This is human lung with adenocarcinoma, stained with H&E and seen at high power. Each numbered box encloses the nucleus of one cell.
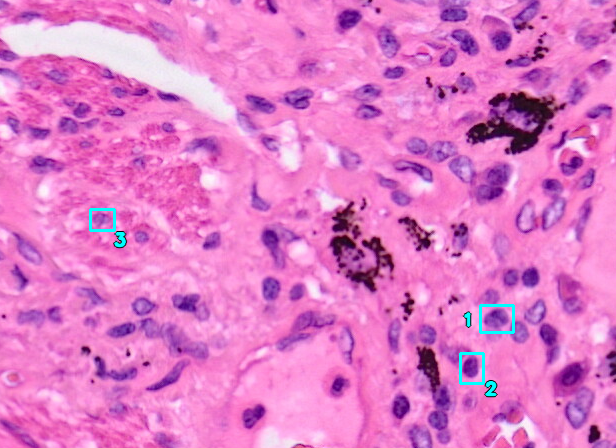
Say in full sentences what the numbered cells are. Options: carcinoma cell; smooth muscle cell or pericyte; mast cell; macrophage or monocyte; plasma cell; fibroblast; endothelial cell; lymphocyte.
Cell 1 is a lymphocyte, cell 2 is a lymphocyte and cell 3 is a smooth muscle cell or pericyte.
